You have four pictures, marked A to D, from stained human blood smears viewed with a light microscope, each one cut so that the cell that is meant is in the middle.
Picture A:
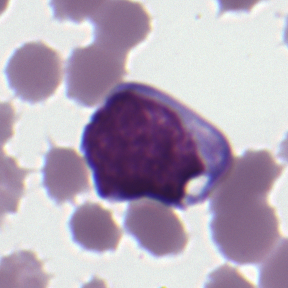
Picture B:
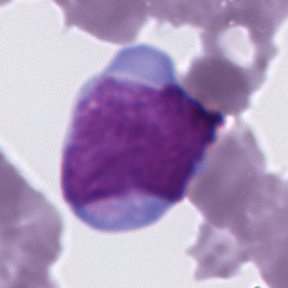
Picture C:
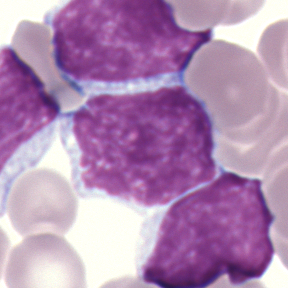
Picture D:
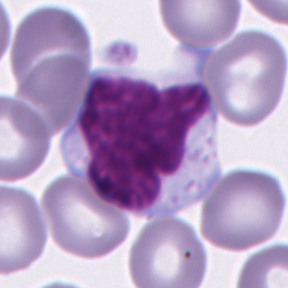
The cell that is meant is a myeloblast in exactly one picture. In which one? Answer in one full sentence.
It is picture B that shows the myeloblast.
